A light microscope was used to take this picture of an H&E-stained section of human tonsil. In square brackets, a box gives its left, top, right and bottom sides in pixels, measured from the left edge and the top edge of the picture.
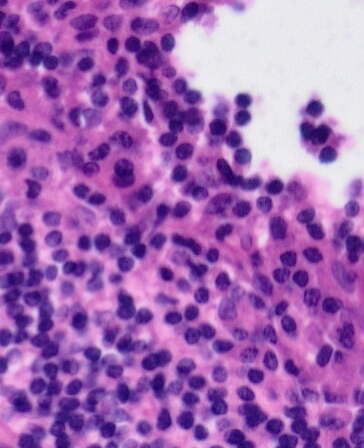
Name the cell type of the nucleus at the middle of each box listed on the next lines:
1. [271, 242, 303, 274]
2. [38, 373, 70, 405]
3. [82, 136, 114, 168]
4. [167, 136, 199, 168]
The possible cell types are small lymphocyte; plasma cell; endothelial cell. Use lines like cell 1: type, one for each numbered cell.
cell 1: plasma cell
cell 2: small lymphocyte
cell 3: plasma cell
cell 4: plasma cell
